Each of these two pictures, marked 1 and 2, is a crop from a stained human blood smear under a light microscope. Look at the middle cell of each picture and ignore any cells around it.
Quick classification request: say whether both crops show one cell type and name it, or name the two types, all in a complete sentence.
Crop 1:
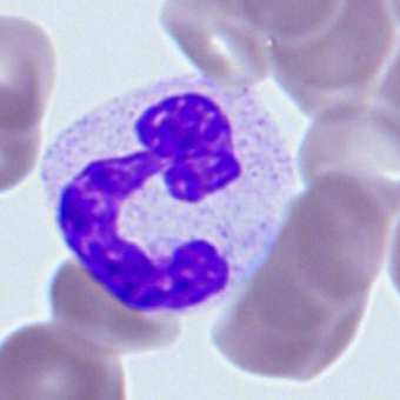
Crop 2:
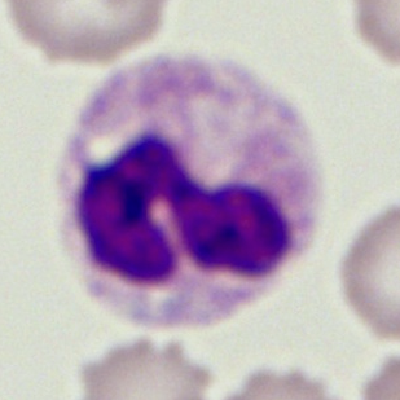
Yes, segmented neutrophils are shown in both crops.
